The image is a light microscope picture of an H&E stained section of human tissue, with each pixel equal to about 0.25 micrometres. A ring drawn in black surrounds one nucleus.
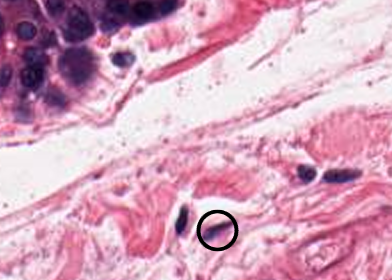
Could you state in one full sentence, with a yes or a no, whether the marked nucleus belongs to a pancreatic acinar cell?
No, the marked nucleus is located in a supporting cell and not in a pancreatic acinar cell.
